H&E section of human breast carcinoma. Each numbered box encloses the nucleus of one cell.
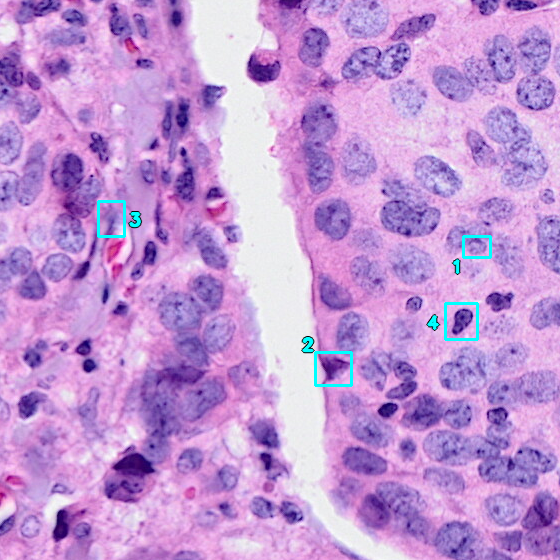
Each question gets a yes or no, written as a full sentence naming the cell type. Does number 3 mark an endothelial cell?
Yes, the marked cell number 3 is an endothelial cell.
